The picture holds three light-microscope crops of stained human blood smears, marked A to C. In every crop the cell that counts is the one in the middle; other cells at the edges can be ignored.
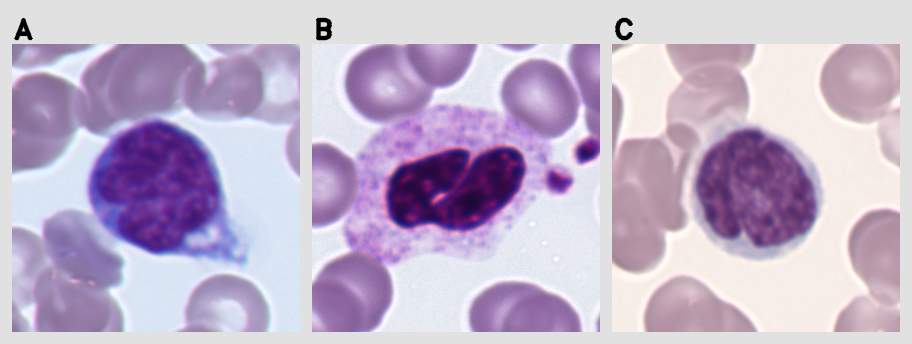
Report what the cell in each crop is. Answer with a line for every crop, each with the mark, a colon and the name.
A: monocyte
B: neutrophil
C: monocyte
